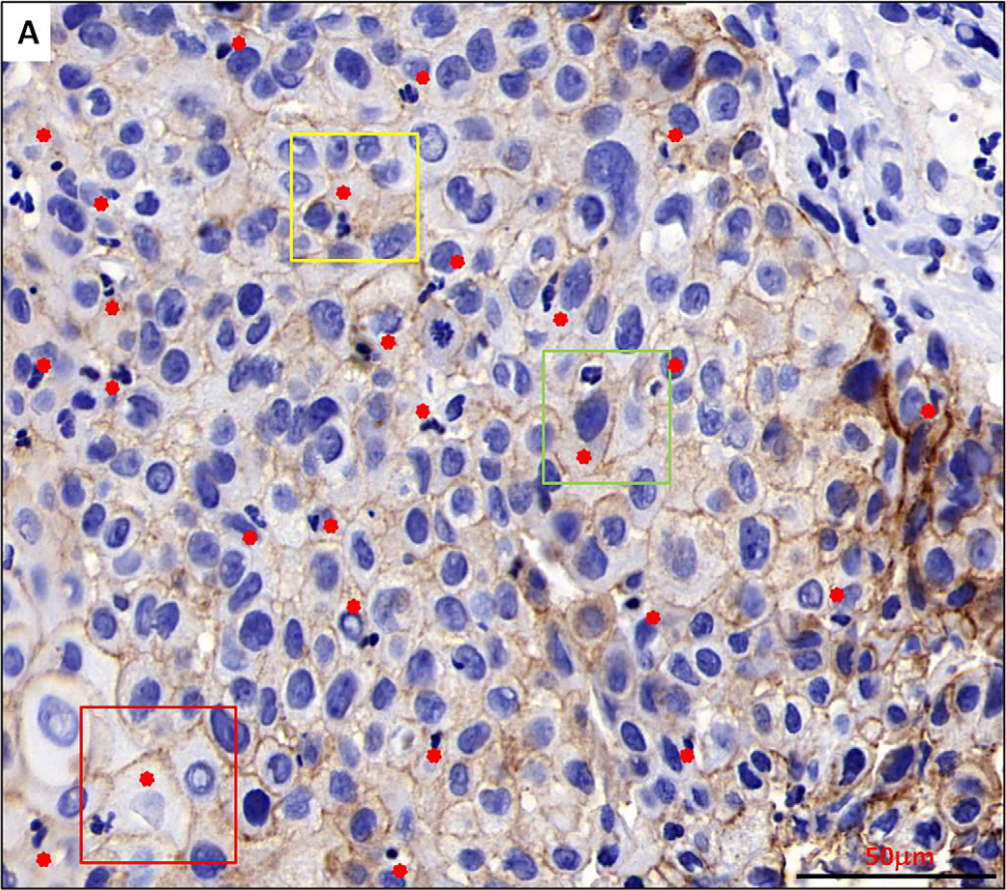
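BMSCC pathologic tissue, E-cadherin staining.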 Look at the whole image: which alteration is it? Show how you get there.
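Many small, very dark, lobed or segmented nuclei are scattered among the large tumor cells. These small cells are far smaller than the surrounding epithelial cells with their large oval nuclei.
Conclusion: neutrophils infiltration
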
